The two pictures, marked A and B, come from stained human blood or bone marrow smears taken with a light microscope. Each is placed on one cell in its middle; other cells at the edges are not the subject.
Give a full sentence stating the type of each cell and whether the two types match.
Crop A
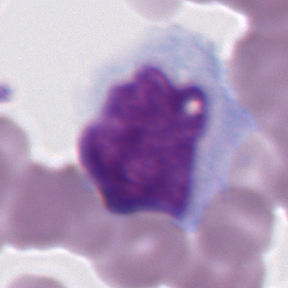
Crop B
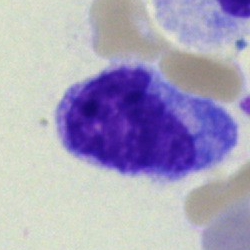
Yes, both of the crops show monocytes.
